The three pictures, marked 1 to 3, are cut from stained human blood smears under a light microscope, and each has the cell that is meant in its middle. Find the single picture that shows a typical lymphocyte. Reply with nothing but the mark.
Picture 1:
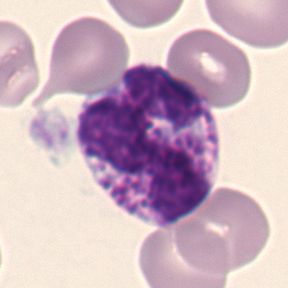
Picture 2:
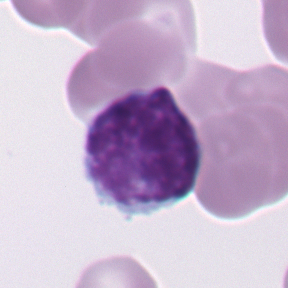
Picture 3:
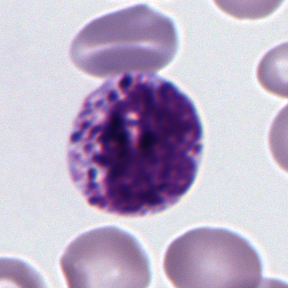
2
